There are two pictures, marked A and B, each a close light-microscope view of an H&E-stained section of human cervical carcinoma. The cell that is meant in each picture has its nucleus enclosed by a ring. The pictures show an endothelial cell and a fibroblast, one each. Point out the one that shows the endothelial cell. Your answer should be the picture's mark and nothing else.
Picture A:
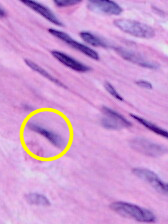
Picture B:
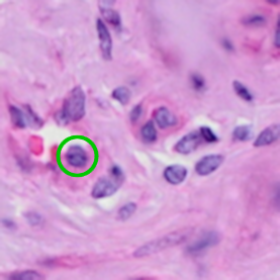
B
